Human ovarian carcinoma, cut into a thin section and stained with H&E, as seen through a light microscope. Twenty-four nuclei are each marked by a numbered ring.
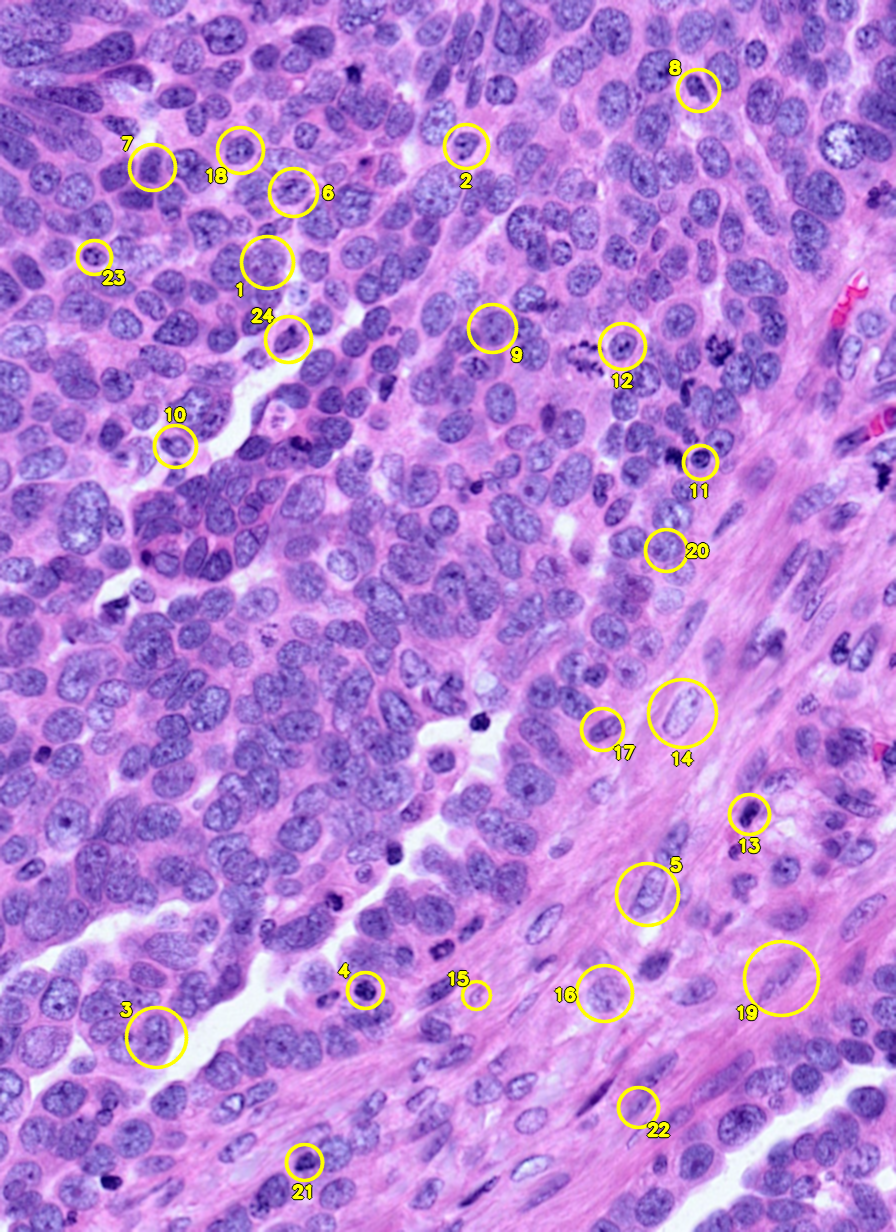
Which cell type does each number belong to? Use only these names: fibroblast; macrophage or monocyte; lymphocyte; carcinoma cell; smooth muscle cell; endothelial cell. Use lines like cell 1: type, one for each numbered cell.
cell 1: carcinoma cell
cell 2: macrophage or monocyte
cell 3: carcinoma cell
cell 4: lymphocyte
cell 5: fibroblast
cell 6: macrophage or monocyte
cell 7: carcinoma cell
cell 8: macrophage or monocyte
cell 9: carcinoma cell
cell 10: macrophage or monocyte
cell 11: lymphocyte
cell 12: macrophage or monocyte
cell 13: lymphocyte
cell 14: fibroblast
cell 15: fibroblast
cell 16: fibroblast
cell 17: macrophage or monocyte
cell 18: macrophage or monocyte
cell 19: fibroblast
cell 20: carcinoma cell
cell 21: lymphocyte
cell 22: fibroblast
cell 23: macrophage or monocyte
cell 24: macrophage or monocyte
